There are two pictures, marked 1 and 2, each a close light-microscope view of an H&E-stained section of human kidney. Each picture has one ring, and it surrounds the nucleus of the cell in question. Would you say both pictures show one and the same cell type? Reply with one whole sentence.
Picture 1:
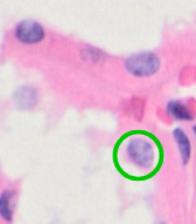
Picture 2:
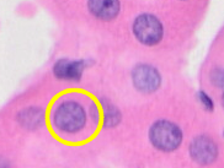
No, the types are not the same, since picture 1 shows a “loop of Henle or distal tubule cell” and picture 2 a proximal tubule cell.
